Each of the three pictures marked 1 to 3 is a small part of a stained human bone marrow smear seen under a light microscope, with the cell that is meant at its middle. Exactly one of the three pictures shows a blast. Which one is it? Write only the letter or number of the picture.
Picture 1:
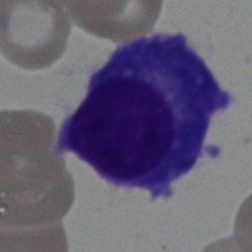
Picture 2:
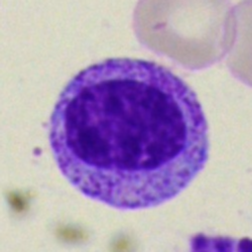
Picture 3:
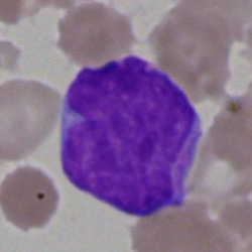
3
